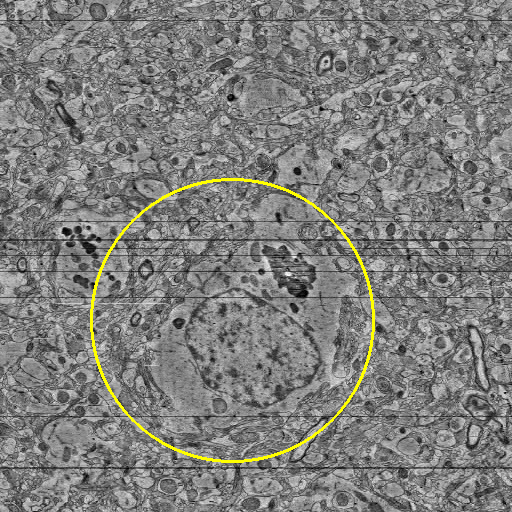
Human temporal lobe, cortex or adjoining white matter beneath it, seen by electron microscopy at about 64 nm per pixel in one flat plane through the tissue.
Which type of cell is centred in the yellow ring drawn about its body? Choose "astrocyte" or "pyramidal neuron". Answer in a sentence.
The yellow ring surrounds the cell body of an astrocyte.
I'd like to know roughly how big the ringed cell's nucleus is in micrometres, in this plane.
The nucleus of the ringed cell is approximately 9 by 8 micrometres in this plane.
